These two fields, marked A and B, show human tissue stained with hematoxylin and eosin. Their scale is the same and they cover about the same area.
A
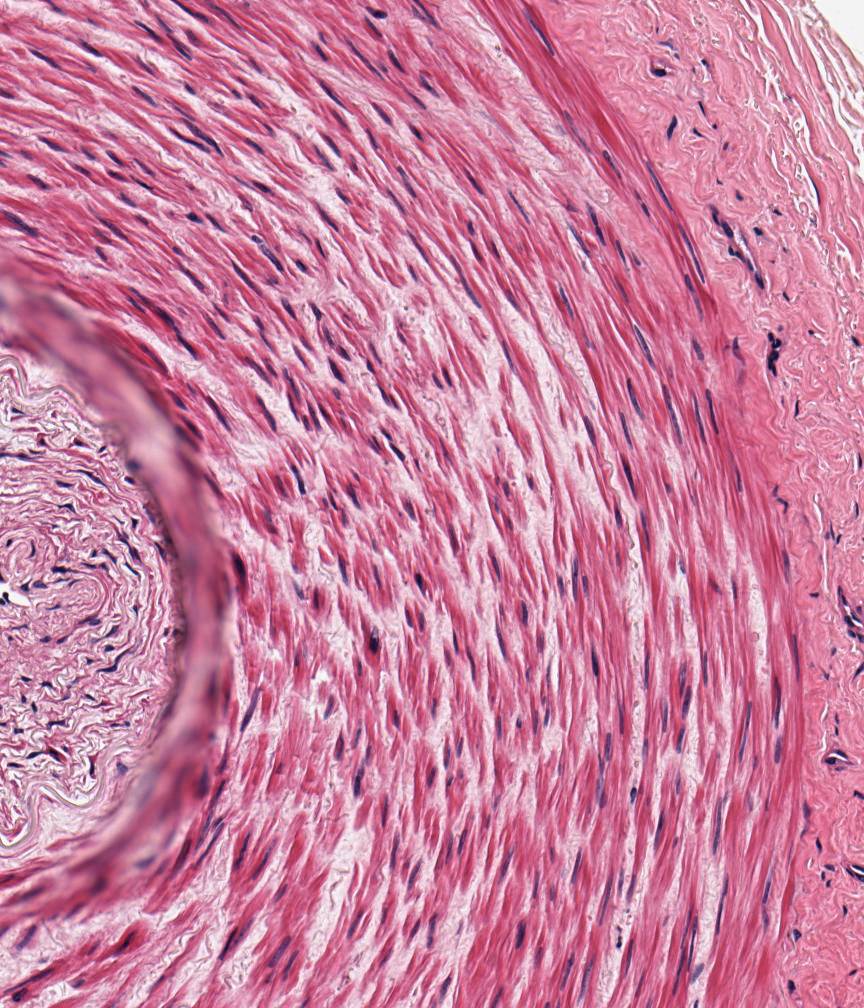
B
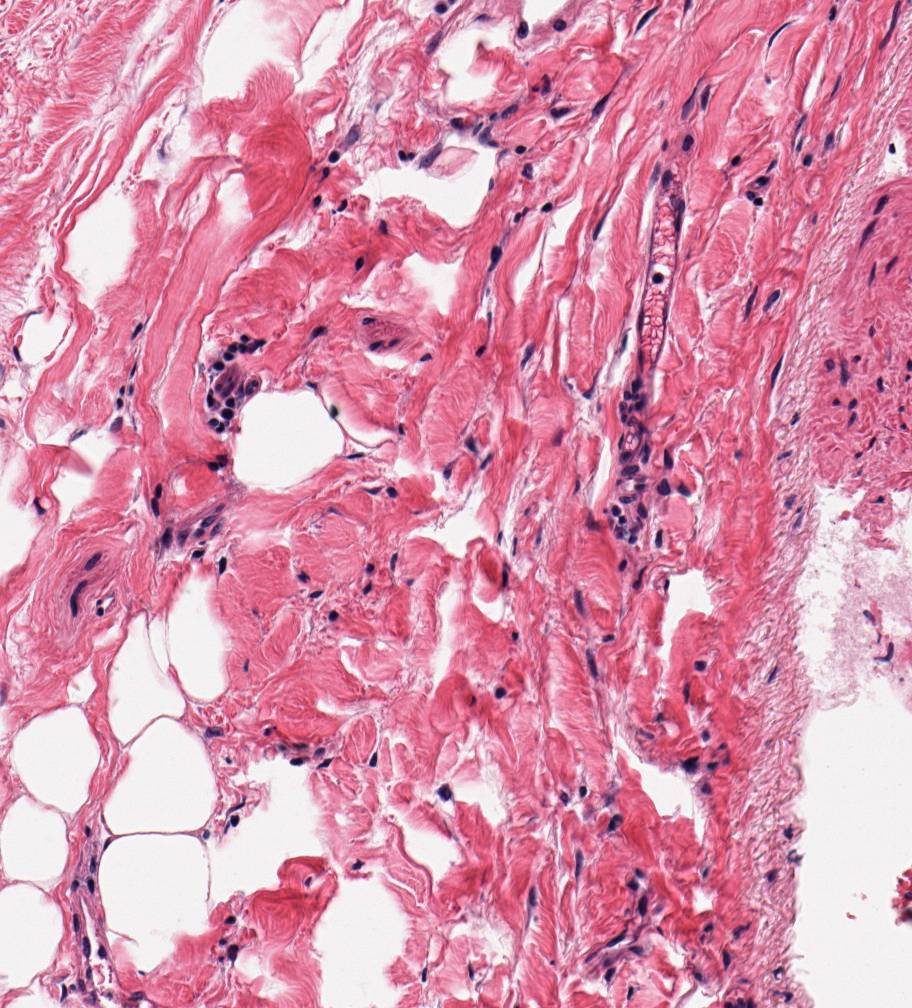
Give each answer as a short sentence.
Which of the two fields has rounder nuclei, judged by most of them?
It is field B whose nuclei are the rounder.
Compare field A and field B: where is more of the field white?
More of field B is empty and white.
